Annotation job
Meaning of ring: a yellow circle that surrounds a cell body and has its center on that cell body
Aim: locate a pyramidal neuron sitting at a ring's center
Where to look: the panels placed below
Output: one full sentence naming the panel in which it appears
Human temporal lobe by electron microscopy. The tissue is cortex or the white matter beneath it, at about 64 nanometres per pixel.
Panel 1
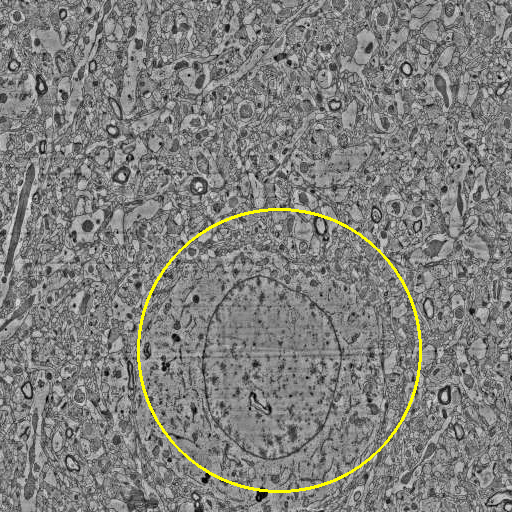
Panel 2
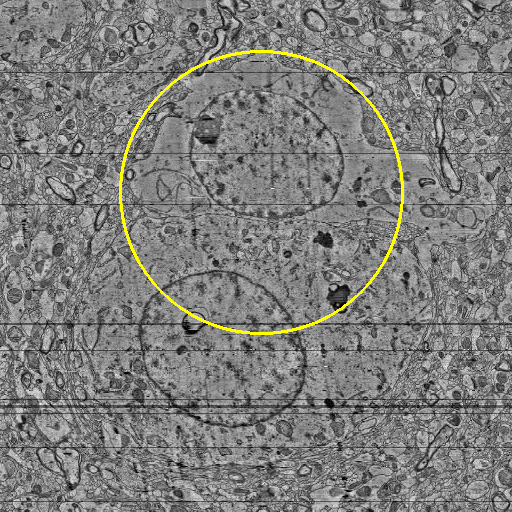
The cell at the center of the ring in panel 1 is the one sought.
